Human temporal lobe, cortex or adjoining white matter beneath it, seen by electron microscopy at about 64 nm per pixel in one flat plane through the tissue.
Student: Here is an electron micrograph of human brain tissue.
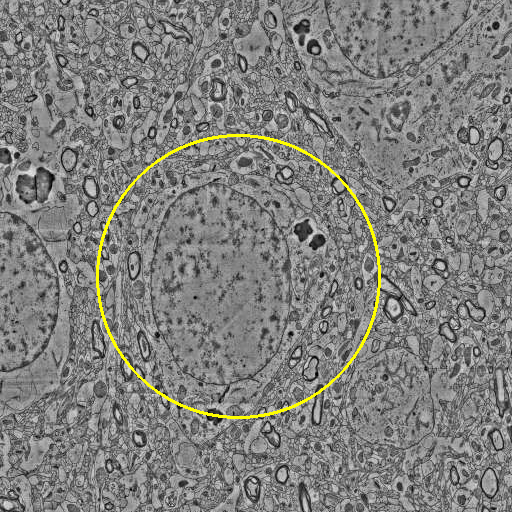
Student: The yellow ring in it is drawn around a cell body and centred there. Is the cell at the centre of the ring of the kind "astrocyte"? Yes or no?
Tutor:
no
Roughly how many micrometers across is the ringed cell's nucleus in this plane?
Approximately 13 micrometres long and 9 micrometres wide, in this plane.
